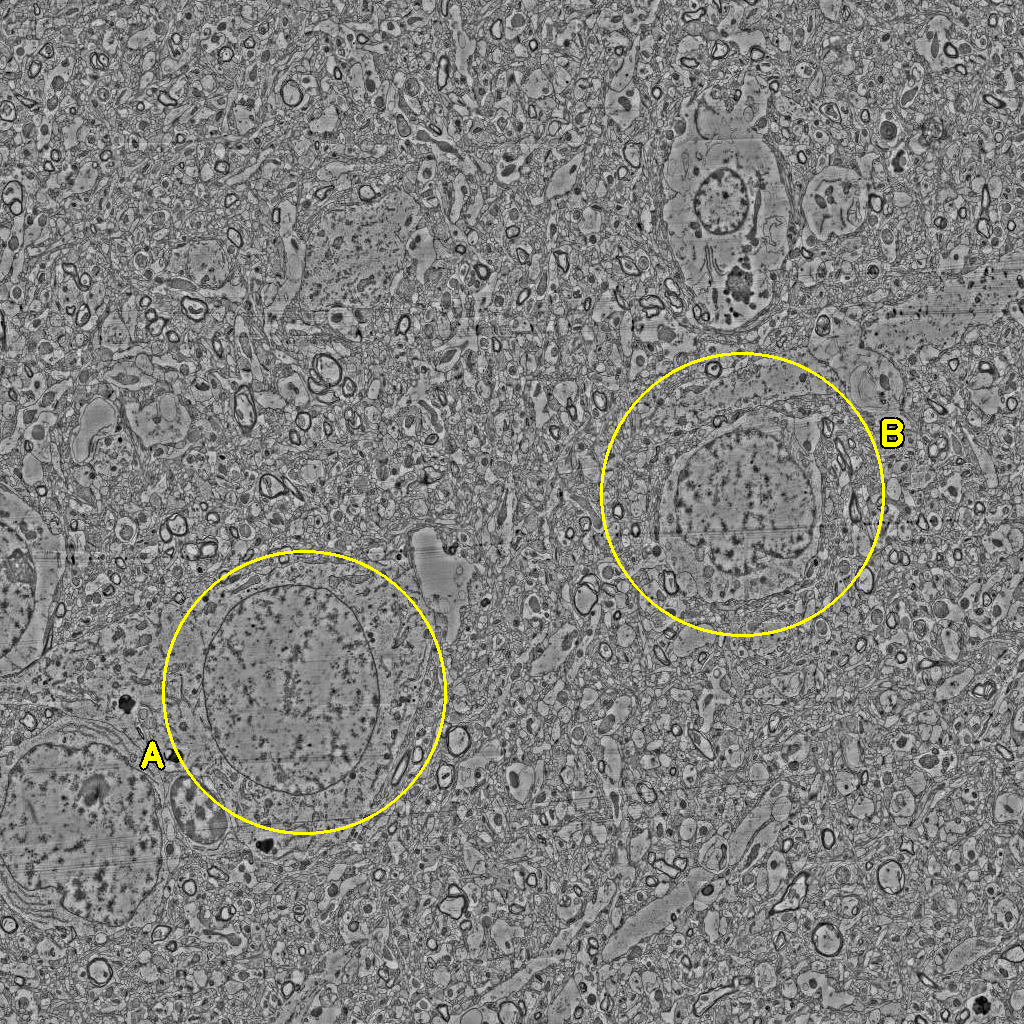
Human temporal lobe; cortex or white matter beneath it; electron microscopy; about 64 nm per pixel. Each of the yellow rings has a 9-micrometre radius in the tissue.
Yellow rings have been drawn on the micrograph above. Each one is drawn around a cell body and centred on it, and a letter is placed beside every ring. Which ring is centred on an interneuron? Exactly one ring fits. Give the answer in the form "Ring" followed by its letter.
Ring B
